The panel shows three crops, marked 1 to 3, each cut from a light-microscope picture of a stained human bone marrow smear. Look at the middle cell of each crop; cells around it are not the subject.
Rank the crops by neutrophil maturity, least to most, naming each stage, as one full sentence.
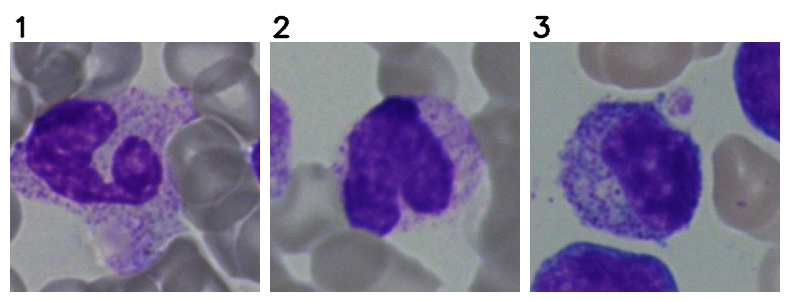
Lined up by maturity, least mature to most mature, they are crop 3 (a myelocyte), crop 2 (a band neutrophil) and crop 1 (a segmented neutrophil).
